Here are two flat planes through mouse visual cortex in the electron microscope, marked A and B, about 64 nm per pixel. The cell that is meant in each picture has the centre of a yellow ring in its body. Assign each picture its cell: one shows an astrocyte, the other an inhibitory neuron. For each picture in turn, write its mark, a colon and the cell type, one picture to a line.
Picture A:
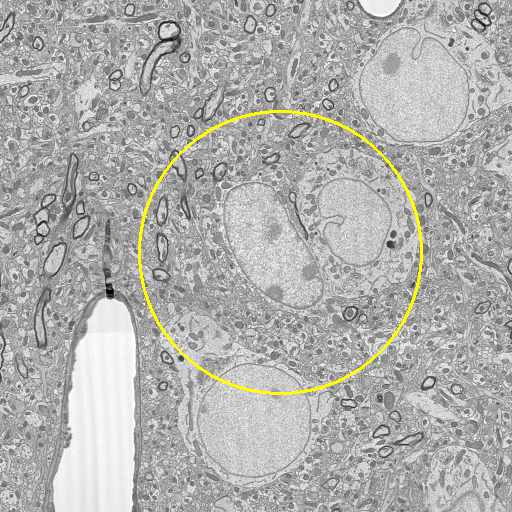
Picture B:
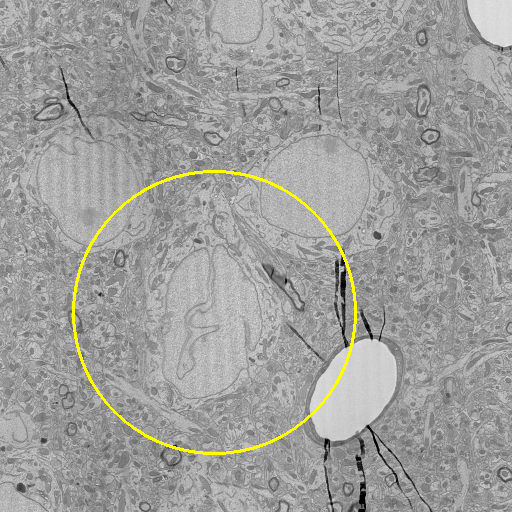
A: astrocyte
B: inhibitory neuron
